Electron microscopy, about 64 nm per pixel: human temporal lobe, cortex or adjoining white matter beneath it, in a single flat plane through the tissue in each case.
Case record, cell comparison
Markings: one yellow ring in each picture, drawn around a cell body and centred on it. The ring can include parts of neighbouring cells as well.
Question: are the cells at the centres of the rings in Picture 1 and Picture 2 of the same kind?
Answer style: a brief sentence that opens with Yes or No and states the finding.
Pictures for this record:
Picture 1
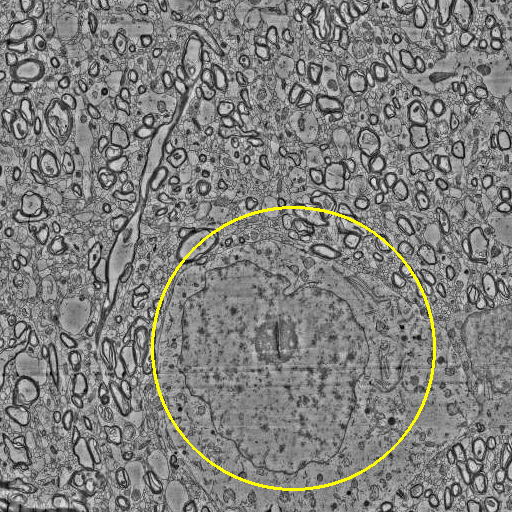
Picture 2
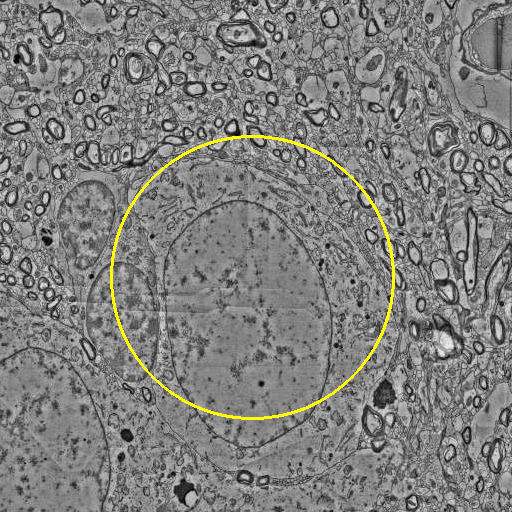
Yes, the cells in Picture 1 and Picture 2 are of the same kind.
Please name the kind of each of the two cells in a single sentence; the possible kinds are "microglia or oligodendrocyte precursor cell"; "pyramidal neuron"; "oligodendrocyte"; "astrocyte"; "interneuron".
The second cell is a pyramidal neuron, just as the first is.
